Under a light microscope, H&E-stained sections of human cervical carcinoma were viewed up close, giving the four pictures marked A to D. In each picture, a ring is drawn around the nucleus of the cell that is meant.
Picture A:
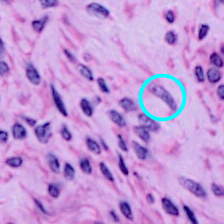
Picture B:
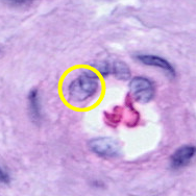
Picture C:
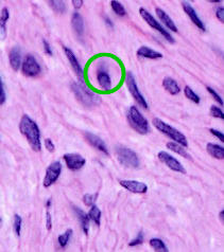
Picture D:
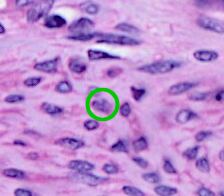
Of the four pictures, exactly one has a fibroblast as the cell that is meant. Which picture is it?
C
